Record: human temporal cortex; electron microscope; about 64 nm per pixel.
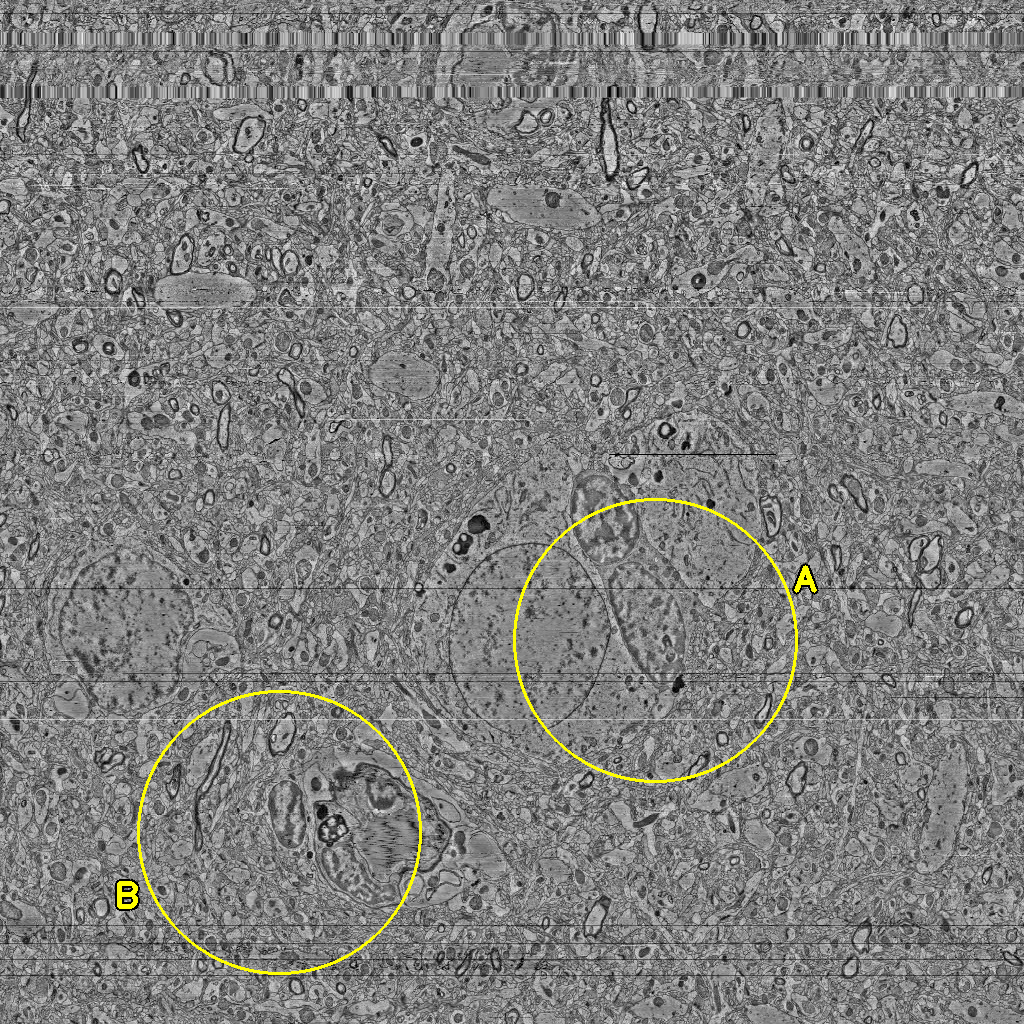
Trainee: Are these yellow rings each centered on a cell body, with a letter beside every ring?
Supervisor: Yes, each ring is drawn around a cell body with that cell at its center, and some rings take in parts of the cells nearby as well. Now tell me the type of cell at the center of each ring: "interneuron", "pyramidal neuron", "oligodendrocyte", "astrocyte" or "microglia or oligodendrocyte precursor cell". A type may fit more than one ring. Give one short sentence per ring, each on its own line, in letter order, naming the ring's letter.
Ring A has an oligodendrocyte at its center.
Ring B has a microglial cell or oligodendrocyte precursor cell at its center.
